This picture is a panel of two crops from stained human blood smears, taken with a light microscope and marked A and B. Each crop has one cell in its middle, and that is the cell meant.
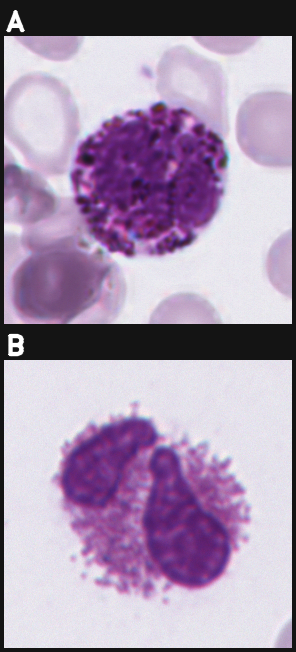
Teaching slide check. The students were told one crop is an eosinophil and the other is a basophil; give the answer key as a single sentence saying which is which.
Within crop A sits a basophil, and within crop B sits an eosinophil.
